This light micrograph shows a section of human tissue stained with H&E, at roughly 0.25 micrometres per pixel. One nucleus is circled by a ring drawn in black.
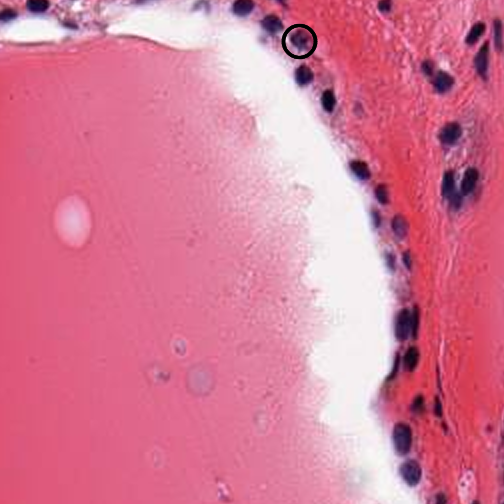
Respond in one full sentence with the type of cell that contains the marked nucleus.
The owner of the marked nucleus is a thyroid follicular cell.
